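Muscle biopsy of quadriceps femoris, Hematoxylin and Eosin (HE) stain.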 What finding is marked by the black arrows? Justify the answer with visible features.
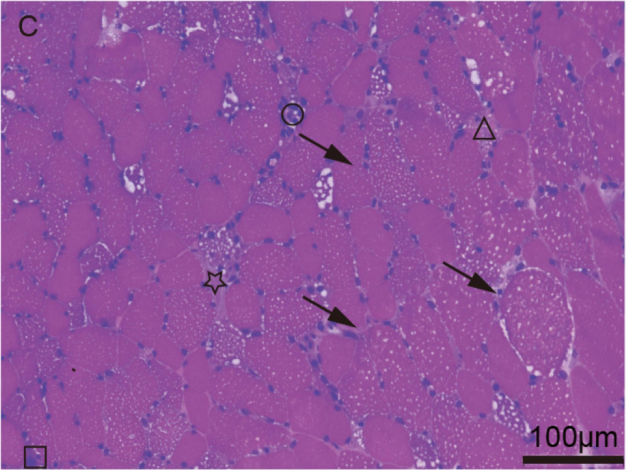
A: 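Lipid deposits. Many fibers hold numerous small clear round vacuoles. The vacuoles are scattered through the pink fiber cytoplasm.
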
